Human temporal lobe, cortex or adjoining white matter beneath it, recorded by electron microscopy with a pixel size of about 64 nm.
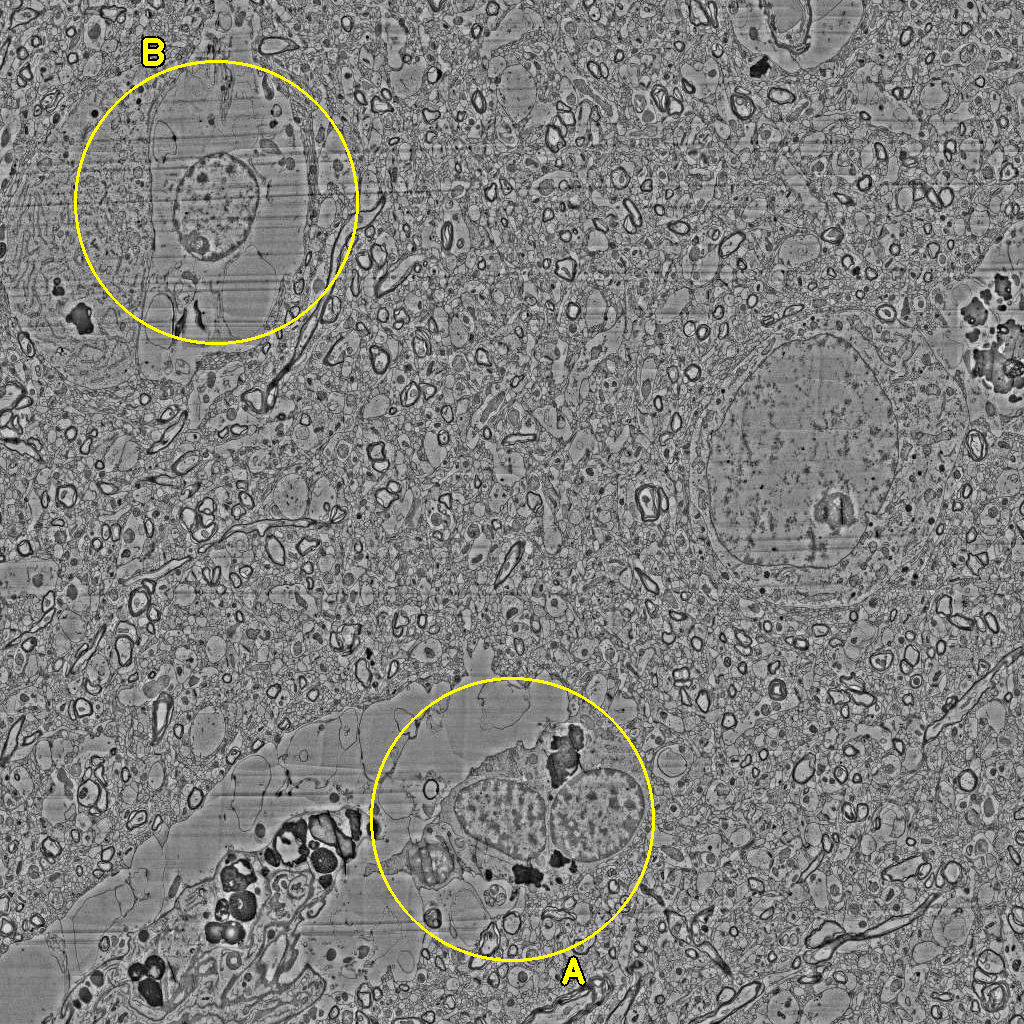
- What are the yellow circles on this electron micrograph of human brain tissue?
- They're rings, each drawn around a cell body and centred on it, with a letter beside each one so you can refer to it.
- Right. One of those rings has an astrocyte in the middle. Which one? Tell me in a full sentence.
It's ring B.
